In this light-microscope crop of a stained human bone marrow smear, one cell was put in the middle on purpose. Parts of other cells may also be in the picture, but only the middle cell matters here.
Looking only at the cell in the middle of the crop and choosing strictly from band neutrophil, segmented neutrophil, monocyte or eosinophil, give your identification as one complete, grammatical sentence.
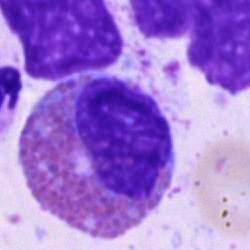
Positioned in the middle of the crop is an eosinophil.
